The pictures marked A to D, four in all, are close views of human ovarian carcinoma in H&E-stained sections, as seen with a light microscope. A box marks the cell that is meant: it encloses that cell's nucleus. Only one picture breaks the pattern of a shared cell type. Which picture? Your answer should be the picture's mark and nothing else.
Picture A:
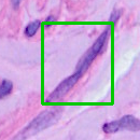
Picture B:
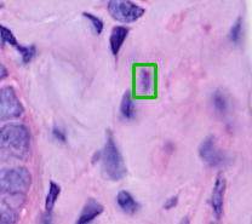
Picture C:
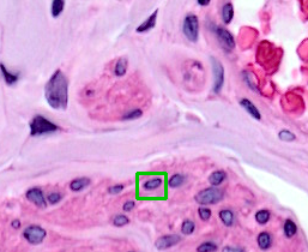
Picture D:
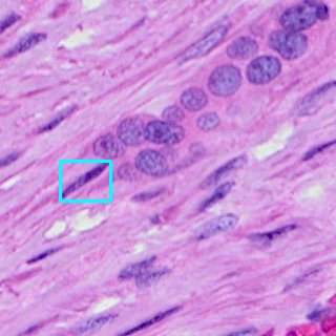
D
